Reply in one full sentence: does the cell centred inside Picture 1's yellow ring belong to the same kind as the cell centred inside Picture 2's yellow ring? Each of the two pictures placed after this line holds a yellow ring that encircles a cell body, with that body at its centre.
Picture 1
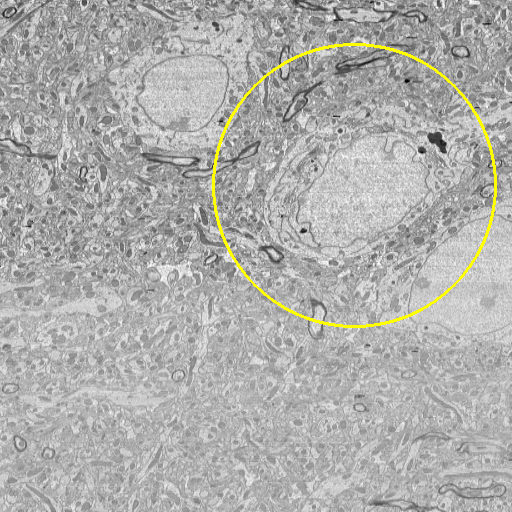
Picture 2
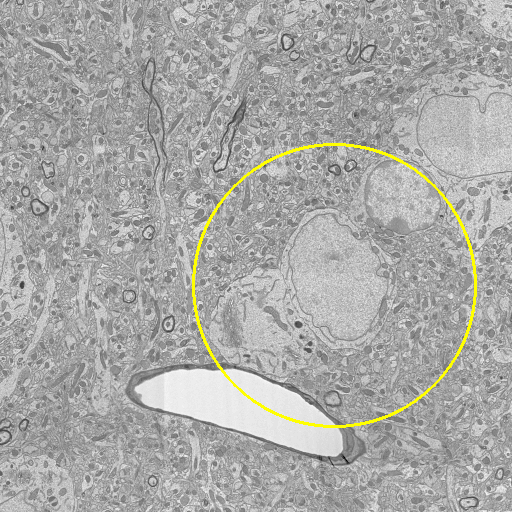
Yes, the ring-centred cells in Picture 1 and Picture 2 are of one and the same kind.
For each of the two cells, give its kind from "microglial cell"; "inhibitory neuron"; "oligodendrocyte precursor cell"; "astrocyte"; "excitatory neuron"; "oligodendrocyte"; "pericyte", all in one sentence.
Each of the two cells is an inhibitory neuron.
